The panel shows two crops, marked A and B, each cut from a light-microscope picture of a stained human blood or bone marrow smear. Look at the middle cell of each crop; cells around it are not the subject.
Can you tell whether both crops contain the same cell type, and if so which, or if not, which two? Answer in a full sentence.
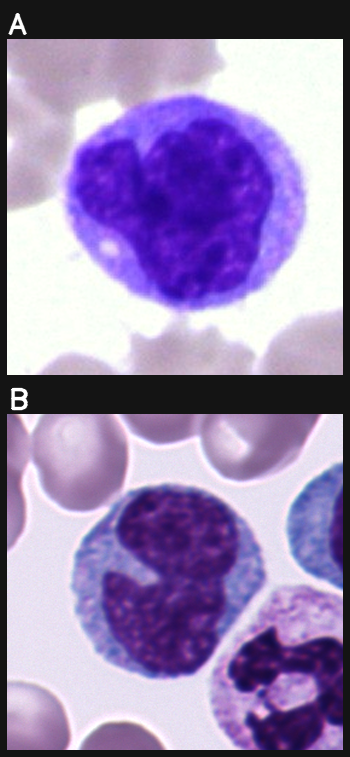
Yes, the middle cells in both crops are indeed monocytes.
